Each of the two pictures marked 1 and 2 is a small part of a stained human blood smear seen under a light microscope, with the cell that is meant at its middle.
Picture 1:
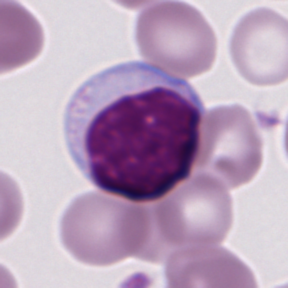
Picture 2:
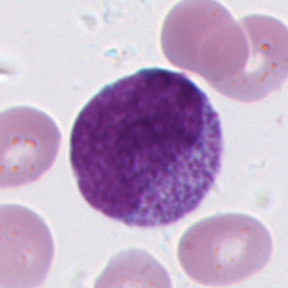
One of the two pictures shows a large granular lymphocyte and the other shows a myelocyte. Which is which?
1: large granular lymphocyte
2: myelocyte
